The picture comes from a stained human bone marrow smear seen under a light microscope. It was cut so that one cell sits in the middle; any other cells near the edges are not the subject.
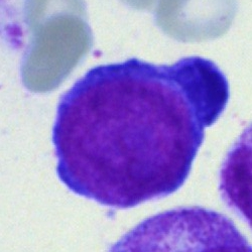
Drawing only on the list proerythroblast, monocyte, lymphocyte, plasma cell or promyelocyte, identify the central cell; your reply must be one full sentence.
What the crop centres on is a proerythroblast.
